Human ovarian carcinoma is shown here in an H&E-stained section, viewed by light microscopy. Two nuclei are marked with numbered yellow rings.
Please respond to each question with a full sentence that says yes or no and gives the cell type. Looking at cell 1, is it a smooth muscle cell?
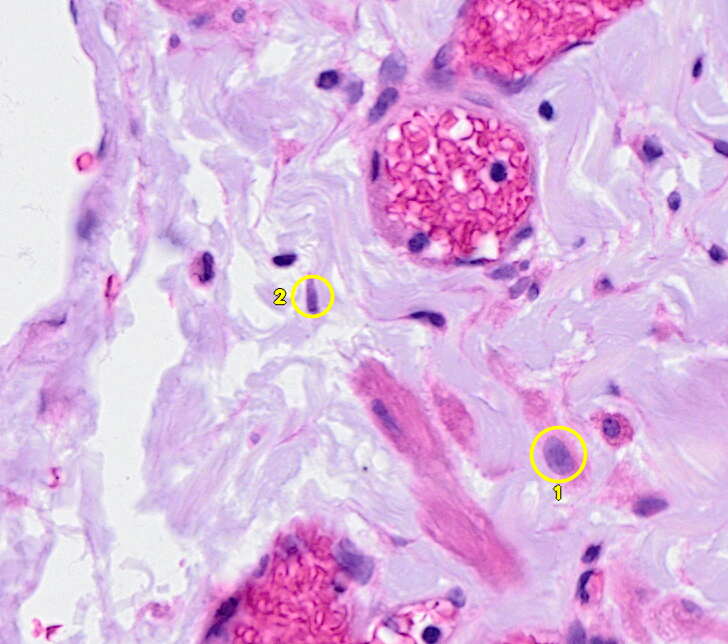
Yes, the marked cell number 1 is a smooth muscle cell.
